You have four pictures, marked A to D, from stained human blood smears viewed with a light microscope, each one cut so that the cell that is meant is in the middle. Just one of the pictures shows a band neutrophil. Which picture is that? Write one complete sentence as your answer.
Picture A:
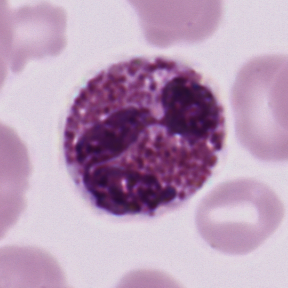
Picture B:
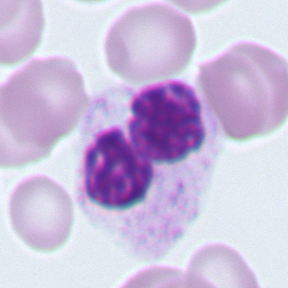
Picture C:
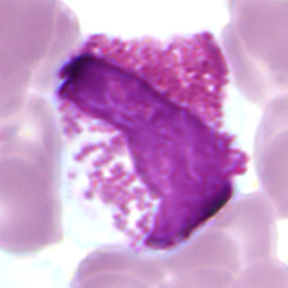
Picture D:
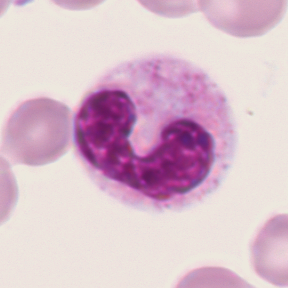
The band neutrophil is the one in picture D.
